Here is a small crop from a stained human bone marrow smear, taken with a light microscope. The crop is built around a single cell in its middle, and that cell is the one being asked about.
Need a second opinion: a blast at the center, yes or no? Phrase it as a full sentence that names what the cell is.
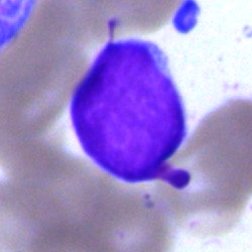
Yes, the middle of the crop is occupied by a blast.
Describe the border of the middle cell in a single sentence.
An uneven margin is present, with either ragged stretches or outward projections.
